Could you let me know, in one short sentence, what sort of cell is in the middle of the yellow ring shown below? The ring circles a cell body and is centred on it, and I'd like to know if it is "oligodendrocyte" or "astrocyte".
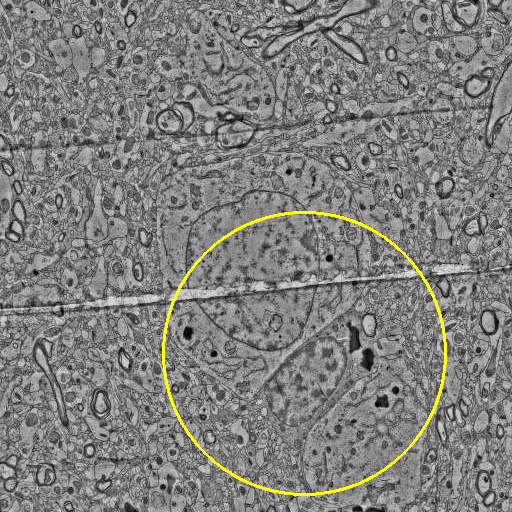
The ring circles the cell body of an oligodendrocyte.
